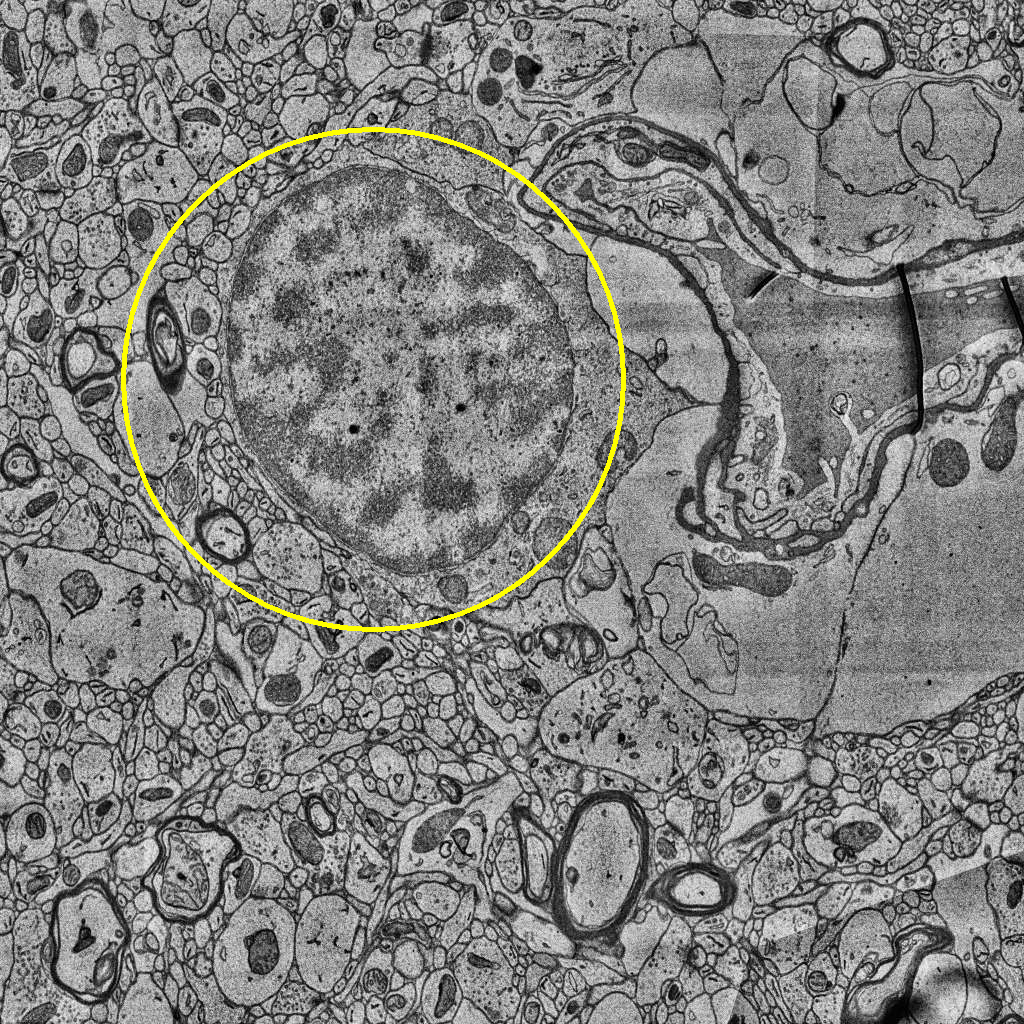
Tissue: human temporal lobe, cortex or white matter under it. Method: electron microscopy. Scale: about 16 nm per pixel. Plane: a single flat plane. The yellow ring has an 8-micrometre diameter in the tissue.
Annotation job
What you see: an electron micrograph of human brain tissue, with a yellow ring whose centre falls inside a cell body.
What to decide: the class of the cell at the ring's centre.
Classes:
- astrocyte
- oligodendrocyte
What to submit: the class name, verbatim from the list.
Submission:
oligodendrocyte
